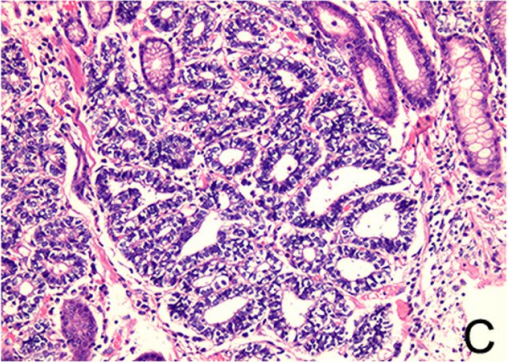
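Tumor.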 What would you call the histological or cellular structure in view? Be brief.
glandular pattern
